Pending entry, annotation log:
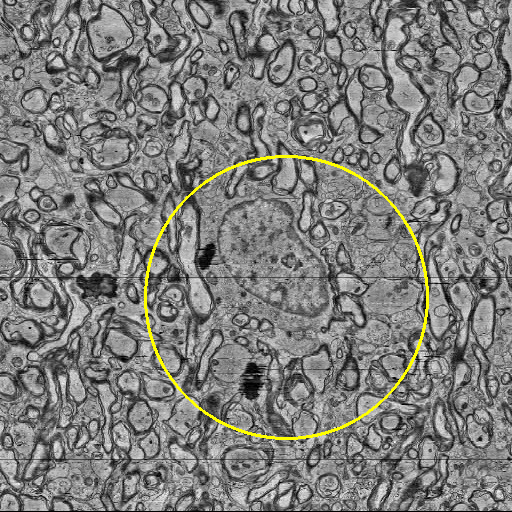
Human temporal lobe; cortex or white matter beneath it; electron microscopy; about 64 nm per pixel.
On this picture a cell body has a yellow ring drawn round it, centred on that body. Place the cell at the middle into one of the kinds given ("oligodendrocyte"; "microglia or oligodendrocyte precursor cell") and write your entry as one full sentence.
The cell body at the middle of the yellow ring belongs to an oligodendrocyte.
